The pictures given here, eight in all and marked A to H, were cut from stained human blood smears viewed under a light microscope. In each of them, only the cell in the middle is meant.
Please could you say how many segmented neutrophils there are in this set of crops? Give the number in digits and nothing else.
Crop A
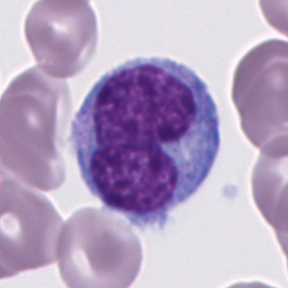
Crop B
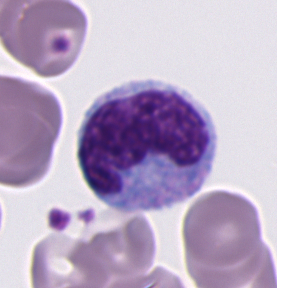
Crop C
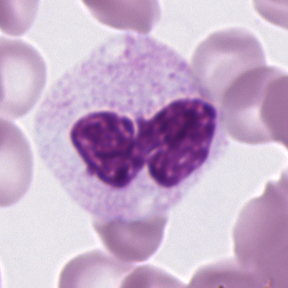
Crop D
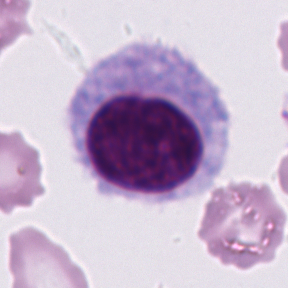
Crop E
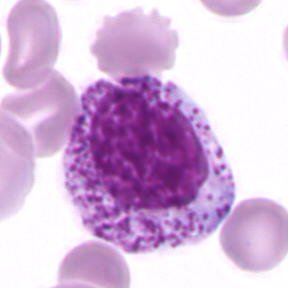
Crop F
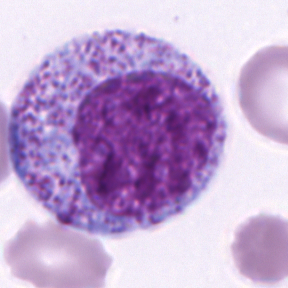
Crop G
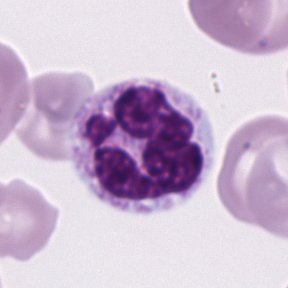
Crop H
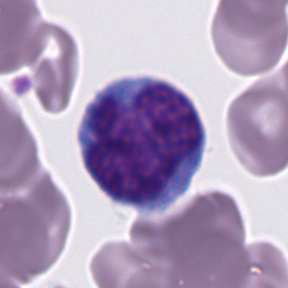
2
